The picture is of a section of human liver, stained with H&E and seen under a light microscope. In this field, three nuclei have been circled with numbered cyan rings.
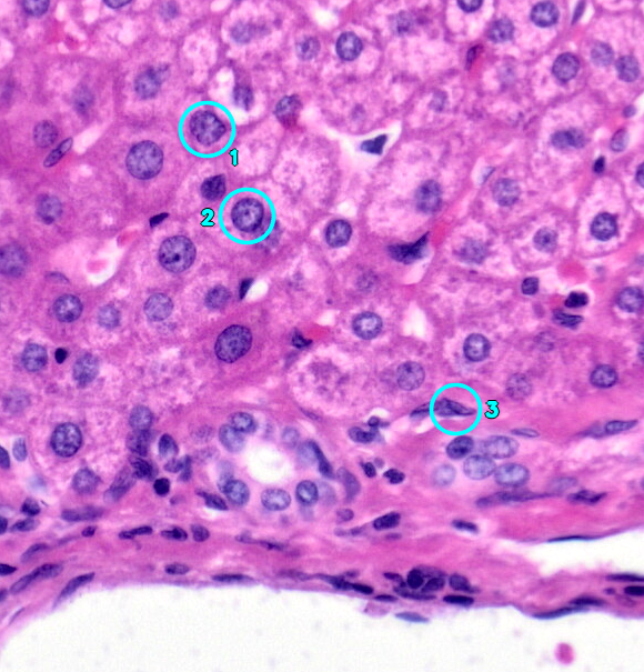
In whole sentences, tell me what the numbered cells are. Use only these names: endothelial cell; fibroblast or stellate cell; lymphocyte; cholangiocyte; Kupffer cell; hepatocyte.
Cells 1 and 2 are hepatocytes. Cell 3 is a fibroblast or stellate cell.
